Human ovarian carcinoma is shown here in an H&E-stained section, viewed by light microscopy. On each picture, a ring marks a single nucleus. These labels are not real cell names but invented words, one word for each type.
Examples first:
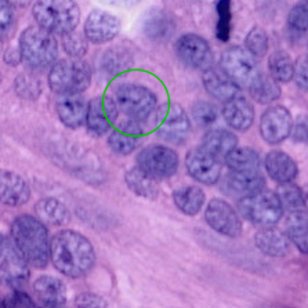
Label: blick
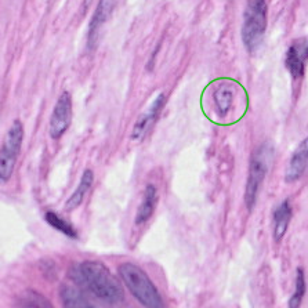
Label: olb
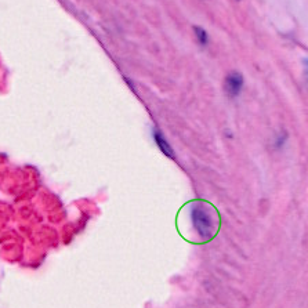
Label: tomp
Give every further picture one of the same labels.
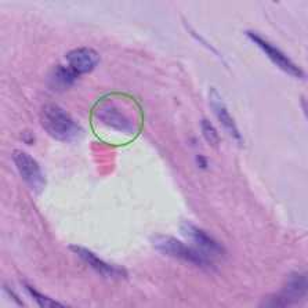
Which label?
tomp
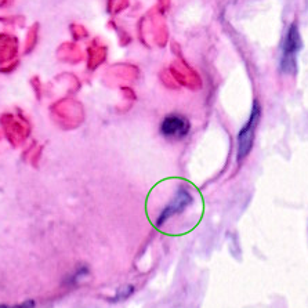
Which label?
tomp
